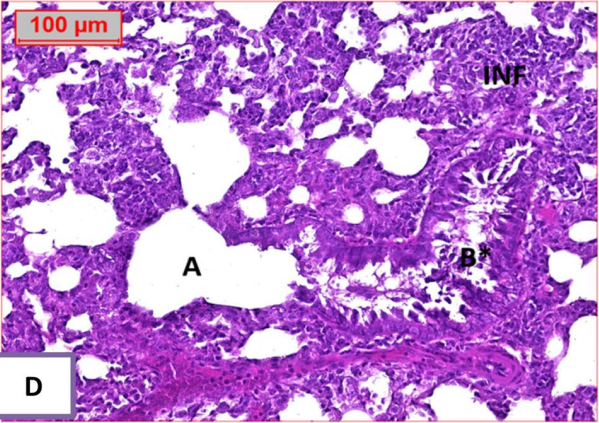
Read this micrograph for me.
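This is lung tissue with a bronchiole lined by tall columnar epithelium folded into its lumen, beside alveolar sacs separated by septa. Some septa are thickened and crowded with purple-staining nuclei of infiltrating inflammatory cells, and loose cells lie within the bronchiolar lumen.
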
